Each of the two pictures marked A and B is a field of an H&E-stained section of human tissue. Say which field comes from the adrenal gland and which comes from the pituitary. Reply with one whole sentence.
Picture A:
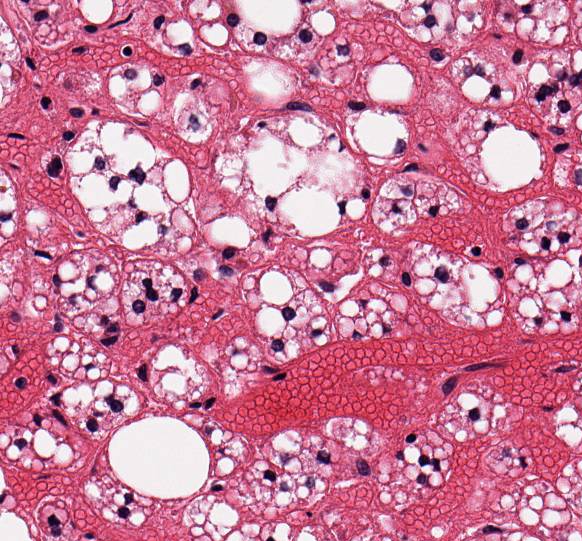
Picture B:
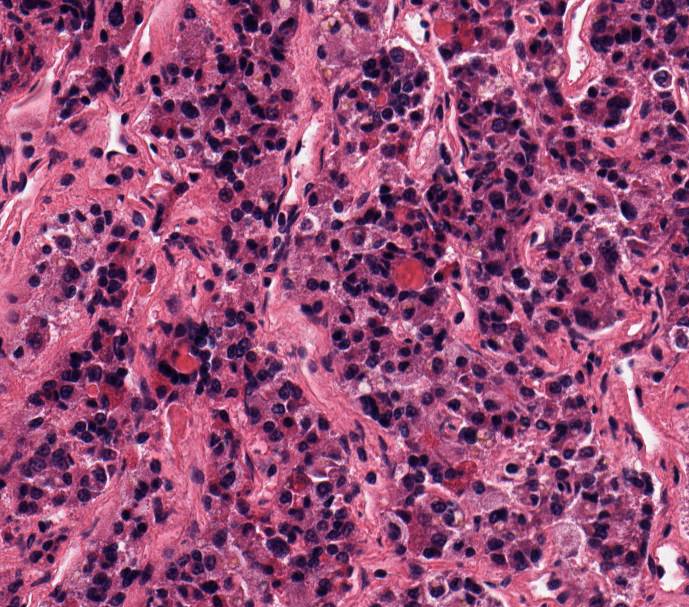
Picture A comes from the adrenal gland and picture B comes from the pituitary.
